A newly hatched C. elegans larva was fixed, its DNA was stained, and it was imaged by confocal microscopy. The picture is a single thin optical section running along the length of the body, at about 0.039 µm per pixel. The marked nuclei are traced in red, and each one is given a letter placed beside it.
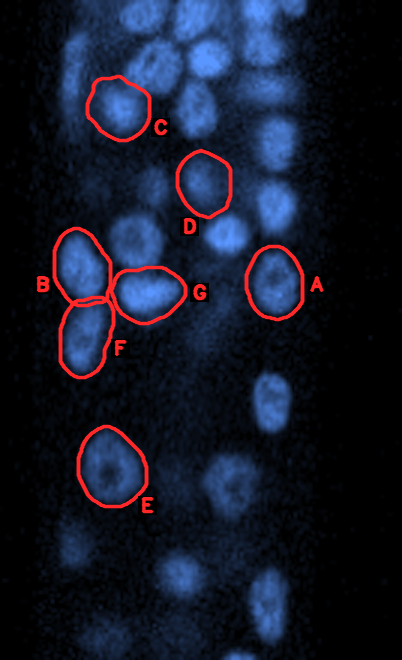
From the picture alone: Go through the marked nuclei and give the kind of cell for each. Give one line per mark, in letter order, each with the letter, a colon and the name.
A: body wall muscle cell
B: body wall muscle cell
C: neuron
D: pharyngeal muscle cell
E: intestinal cell
F: body wall muscle cell
G: valve cell of the gut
